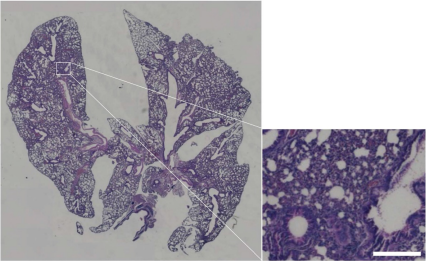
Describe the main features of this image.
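A whole lung section in pink and purple shows lobes of spongy tissue with branching airways and vessels near the hilum. The magnified inset shows alveolar walls with many purple nuclei, thickened and crowded in places, around small open air spaces and a larger airway.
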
